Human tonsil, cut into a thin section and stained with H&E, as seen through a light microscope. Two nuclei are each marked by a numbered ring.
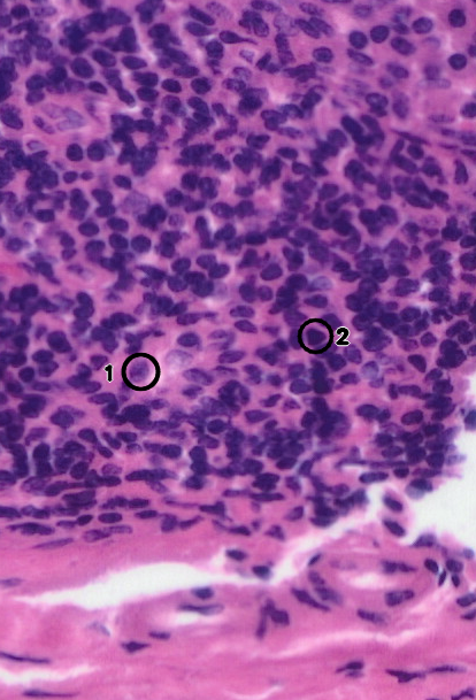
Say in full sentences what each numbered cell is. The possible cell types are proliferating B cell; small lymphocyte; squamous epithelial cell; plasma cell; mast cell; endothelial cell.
Cell 1 is an endothelial cell and cell 2 is a small lymphocyte.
